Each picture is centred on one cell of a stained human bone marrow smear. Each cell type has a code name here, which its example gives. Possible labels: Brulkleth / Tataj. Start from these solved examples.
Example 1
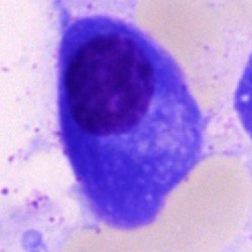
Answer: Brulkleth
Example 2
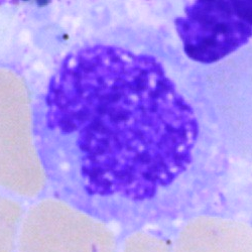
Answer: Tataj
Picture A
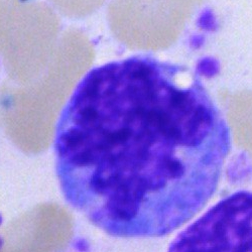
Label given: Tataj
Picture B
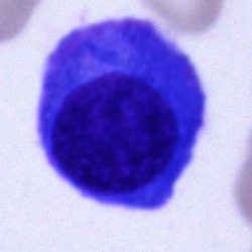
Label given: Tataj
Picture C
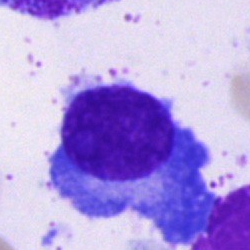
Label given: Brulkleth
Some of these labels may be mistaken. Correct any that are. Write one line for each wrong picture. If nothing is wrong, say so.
Wrong: B (Tataj); correct: Brulkleth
